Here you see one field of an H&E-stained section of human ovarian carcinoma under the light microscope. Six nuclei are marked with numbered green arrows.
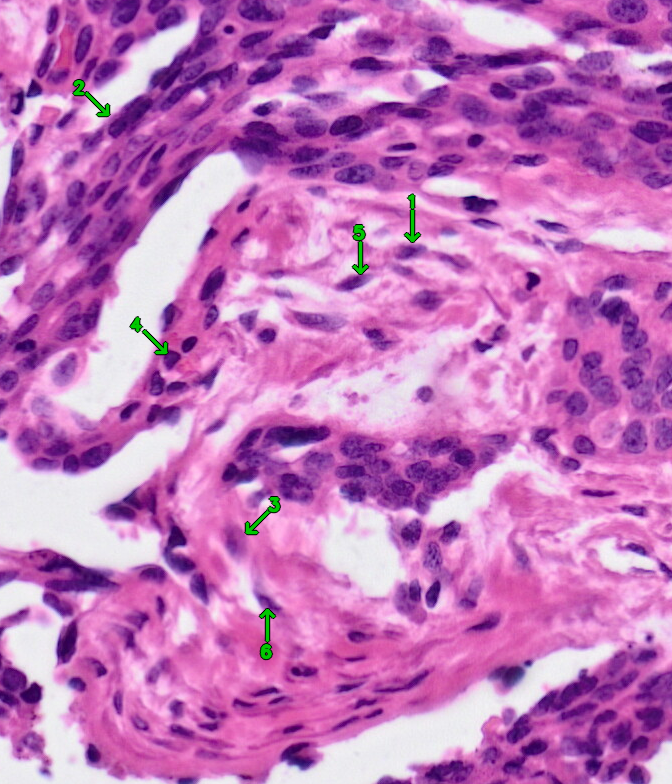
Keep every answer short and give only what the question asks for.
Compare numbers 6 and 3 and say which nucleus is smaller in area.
6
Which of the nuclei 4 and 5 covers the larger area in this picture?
5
